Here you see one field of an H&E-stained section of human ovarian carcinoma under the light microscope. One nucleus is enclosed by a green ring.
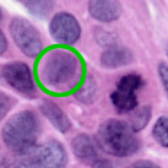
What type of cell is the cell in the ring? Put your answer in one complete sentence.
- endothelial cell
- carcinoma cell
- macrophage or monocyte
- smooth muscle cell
By cell type, the cell in the ring is a carcinoma cell.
